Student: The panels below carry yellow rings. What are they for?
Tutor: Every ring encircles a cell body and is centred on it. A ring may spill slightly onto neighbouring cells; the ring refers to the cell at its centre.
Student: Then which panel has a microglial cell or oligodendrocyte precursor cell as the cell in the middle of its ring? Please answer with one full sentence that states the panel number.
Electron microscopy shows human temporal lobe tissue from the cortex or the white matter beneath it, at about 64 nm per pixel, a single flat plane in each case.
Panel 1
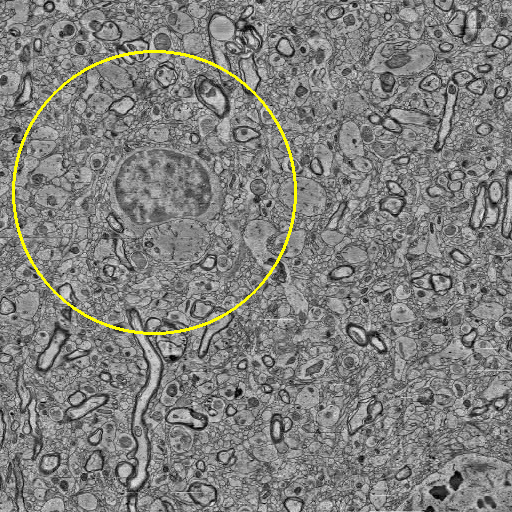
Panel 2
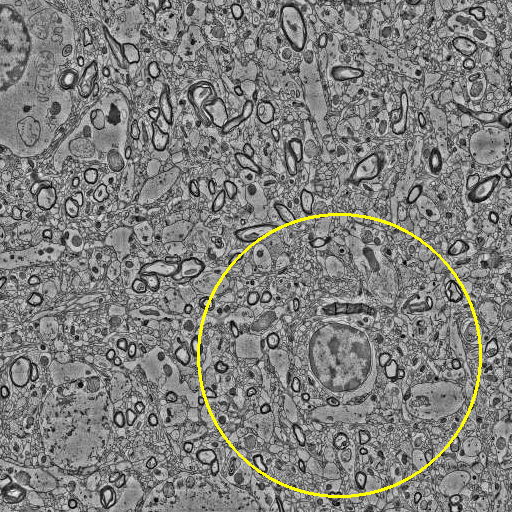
In Panel 2, the cell centred in the ring is the one sought.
